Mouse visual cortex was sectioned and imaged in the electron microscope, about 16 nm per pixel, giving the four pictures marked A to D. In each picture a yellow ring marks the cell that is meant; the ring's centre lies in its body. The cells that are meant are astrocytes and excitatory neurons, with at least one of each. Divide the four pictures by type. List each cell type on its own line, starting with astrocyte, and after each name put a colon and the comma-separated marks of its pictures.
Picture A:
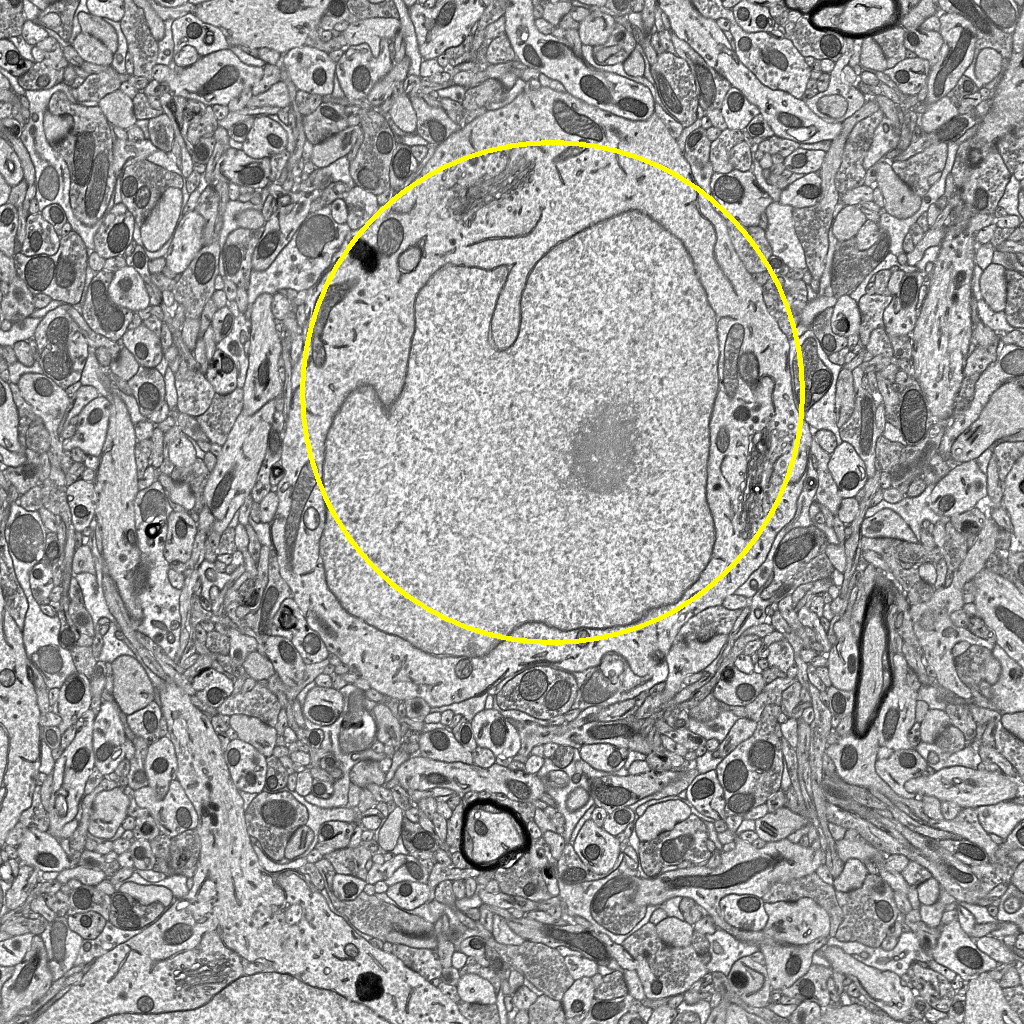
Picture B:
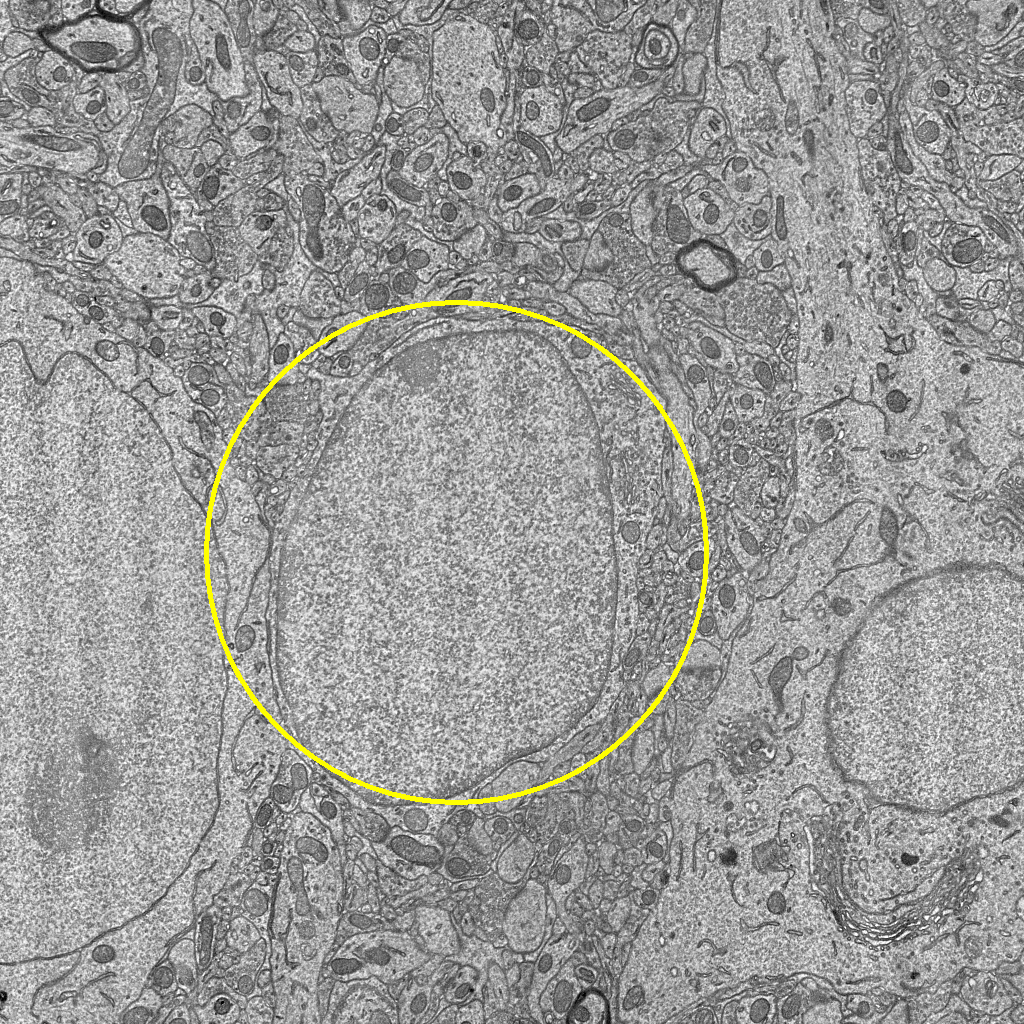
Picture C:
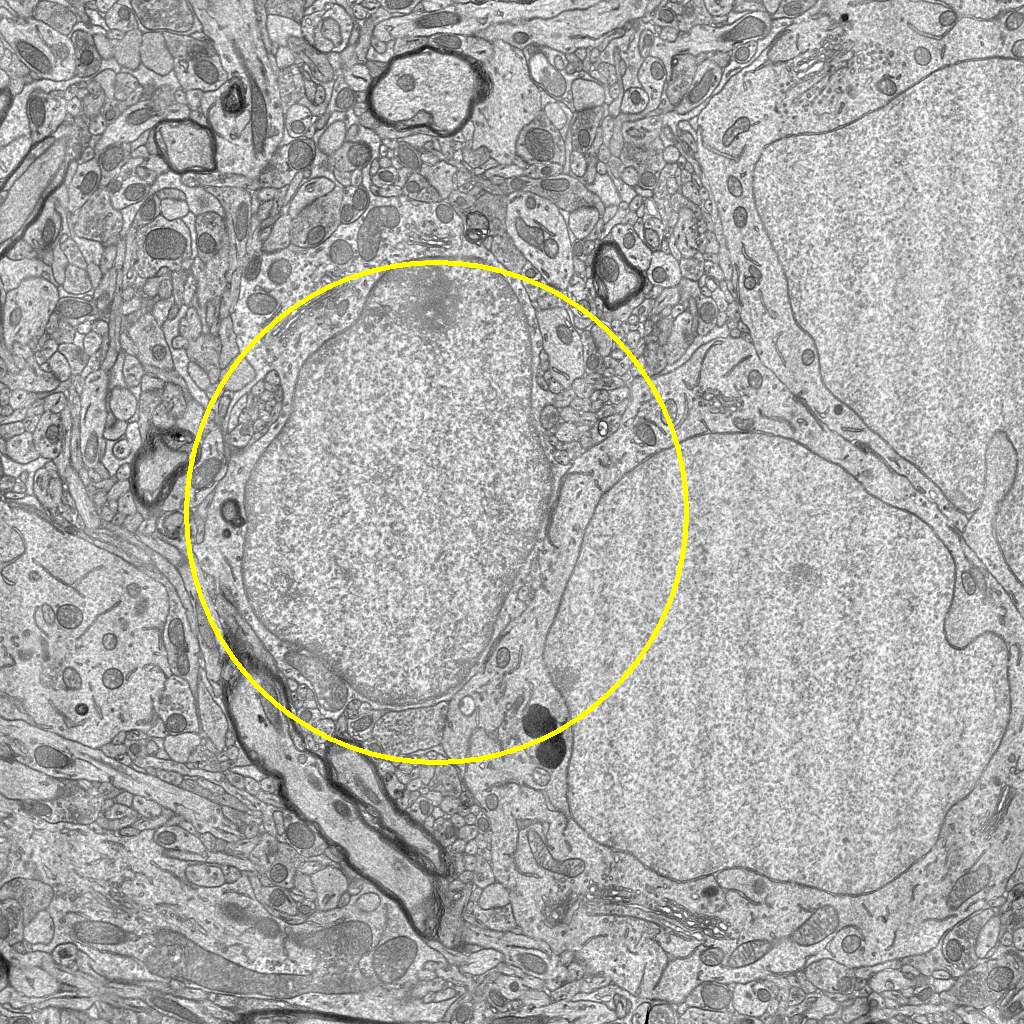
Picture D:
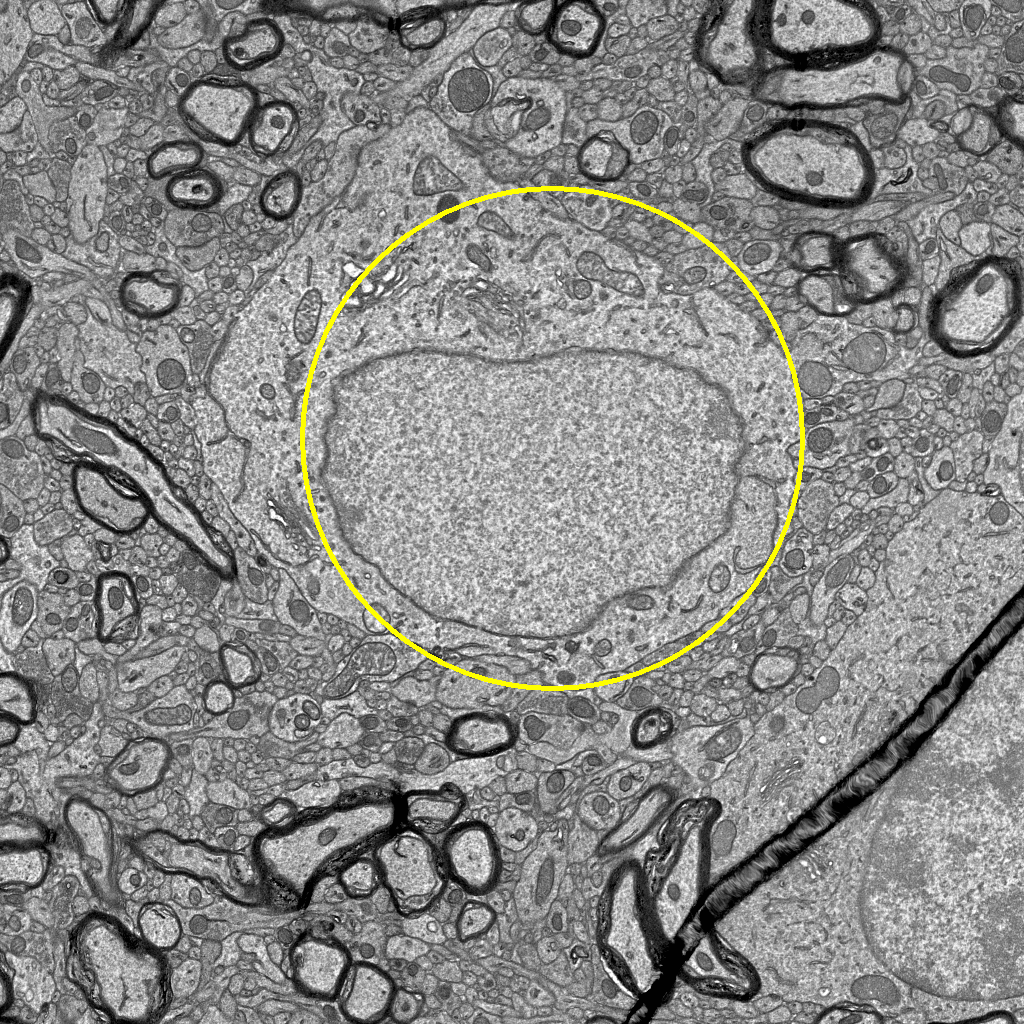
astrocyte: B, C
excitatory neuron: A, D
